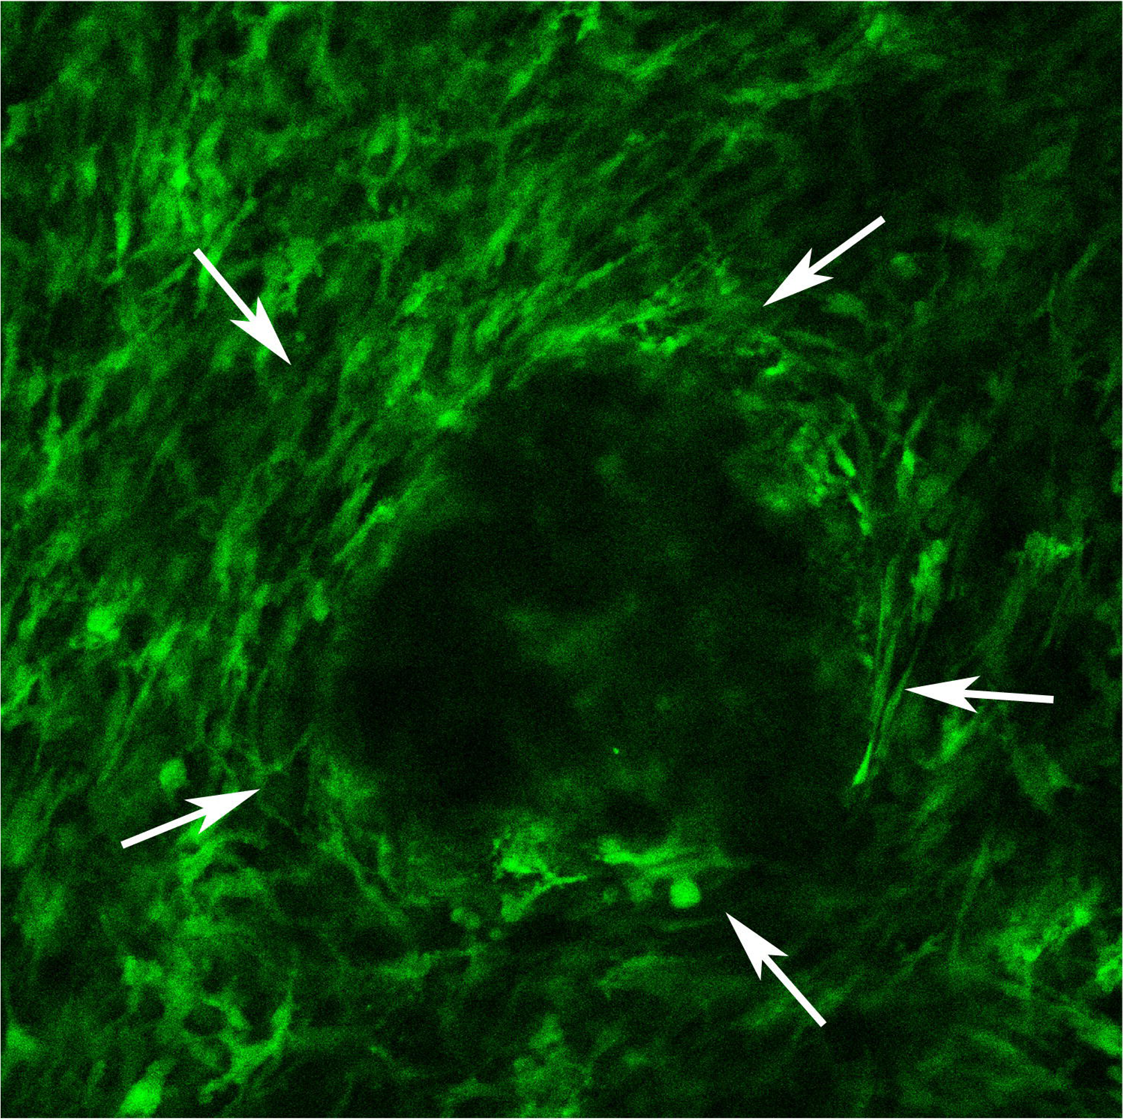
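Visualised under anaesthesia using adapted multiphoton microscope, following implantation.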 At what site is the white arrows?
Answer: Periphery of lesion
